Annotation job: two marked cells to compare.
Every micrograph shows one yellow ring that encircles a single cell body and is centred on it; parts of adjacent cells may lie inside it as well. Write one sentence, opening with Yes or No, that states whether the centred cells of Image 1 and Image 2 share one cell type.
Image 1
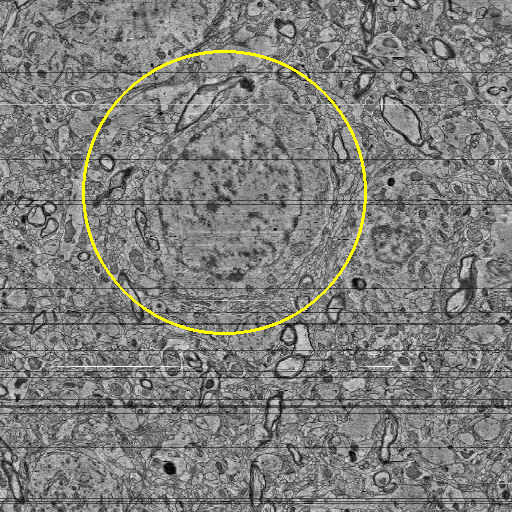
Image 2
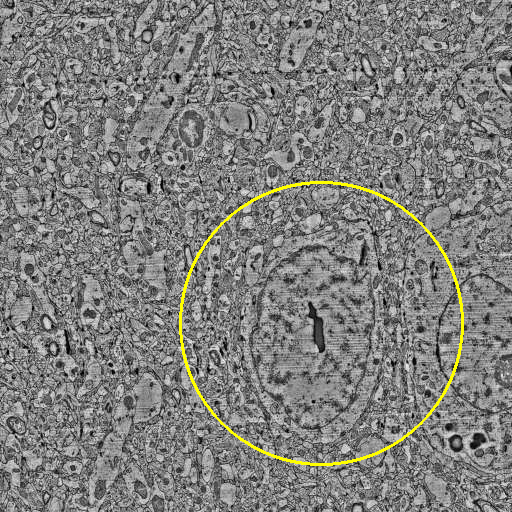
Yes, the cell centred in Image 1 shares its type with the cell centred in Image 2.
